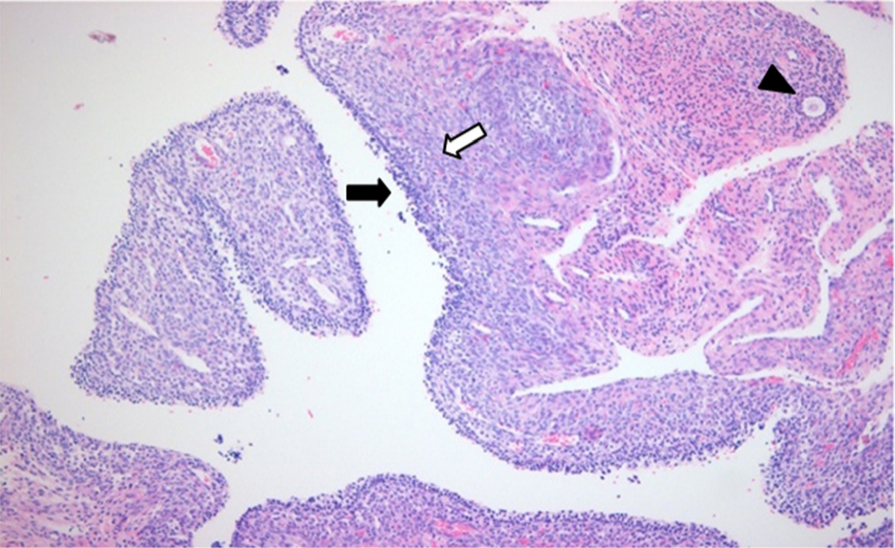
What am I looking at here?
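Folded fronds of tissue are each lined on their free surface by a band of densely packed cells with small, dark round nuclei and little cytoplasm, which forms the granulosa layer. Beneath this lies a layer of cells with paler nuclei and more pink cytoplasm, the theca interna. Within the stroma, a small round primordial follicle with a pale centre and a thin rim of flattened cells can be seen.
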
